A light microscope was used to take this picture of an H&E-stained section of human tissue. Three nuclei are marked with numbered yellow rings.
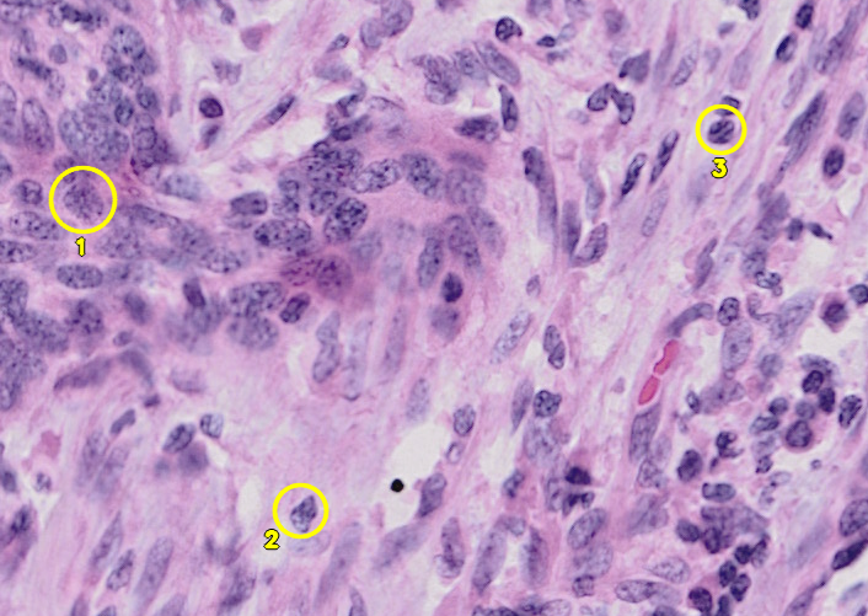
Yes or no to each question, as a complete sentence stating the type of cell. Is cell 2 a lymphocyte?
Yes. The cell carrying number 2 is a lymphocyte.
